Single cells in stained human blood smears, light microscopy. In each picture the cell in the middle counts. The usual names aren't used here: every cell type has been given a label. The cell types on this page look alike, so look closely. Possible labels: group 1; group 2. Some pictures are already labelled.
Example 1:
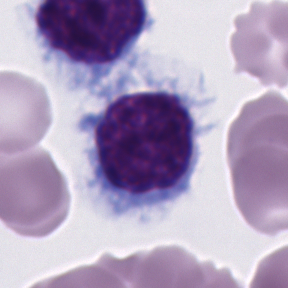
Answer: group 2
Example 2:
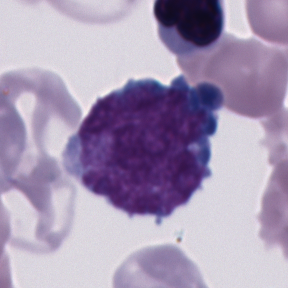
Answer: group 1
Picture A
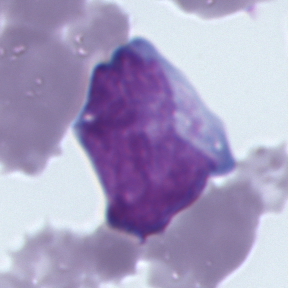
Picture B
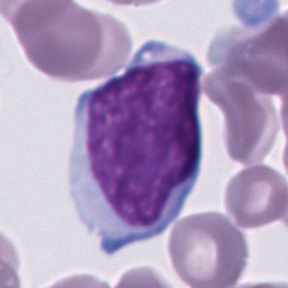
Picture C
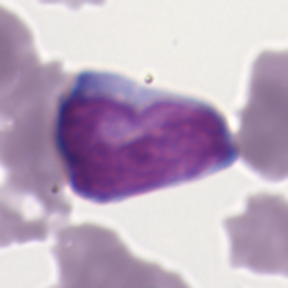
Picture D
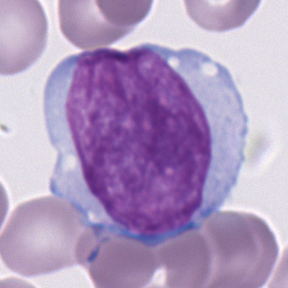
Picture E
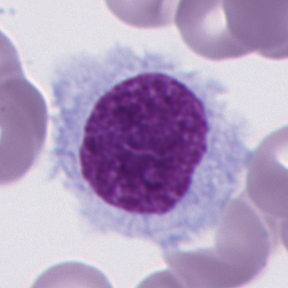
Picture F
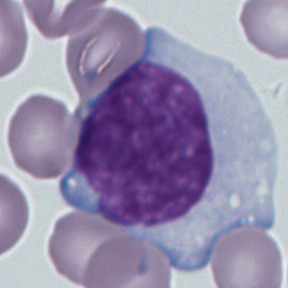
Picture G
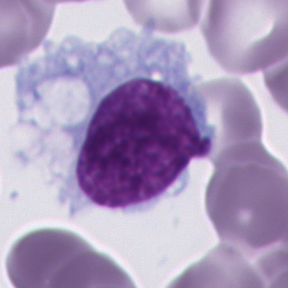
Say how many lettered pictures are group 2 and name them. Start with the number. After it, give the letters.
Count: 2 (E, G)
